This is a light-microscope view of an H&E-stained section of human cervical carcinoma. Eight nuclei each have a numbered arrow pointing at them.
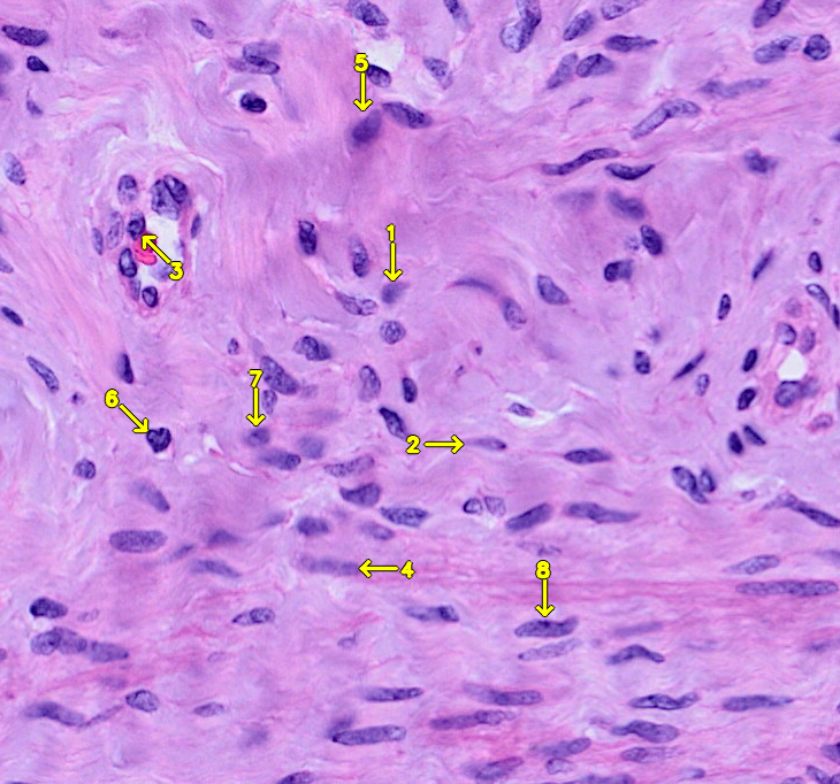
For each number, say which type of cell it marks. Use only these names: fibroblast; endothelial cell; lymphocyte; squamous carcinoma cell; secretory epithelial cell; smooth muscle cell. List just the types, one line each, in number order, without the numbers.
fibroblast
fibroblast
endothelial cell
smooth muscle cell
fibroblast
lymphocyte
fibroblast
fibroblast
